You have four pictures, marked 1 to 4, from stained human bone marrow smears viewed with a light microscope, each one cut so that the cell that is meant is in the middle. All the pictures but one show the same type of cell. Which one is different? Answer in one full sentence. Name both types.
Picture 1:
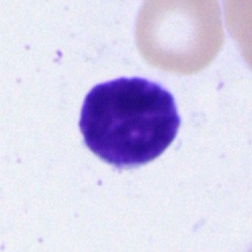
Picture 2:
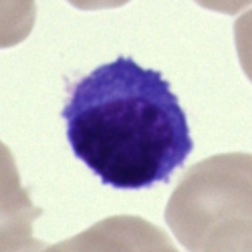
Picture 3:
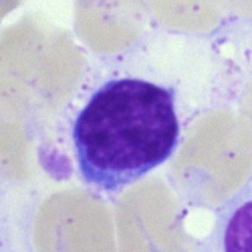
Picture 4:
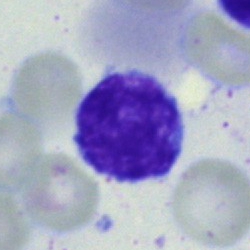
Unlike the rest, which show lymphocytes, picture 2 shows a plasma cell.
